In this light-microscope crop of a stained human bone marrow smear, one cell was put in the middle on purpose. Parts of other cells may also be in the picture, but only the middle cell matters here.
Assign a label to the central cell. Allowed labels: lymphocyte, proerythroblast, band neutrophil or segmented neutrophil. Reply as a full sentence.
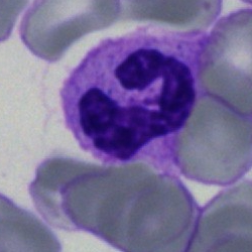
The cell the crop is centered on is a segmented neutrophil.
